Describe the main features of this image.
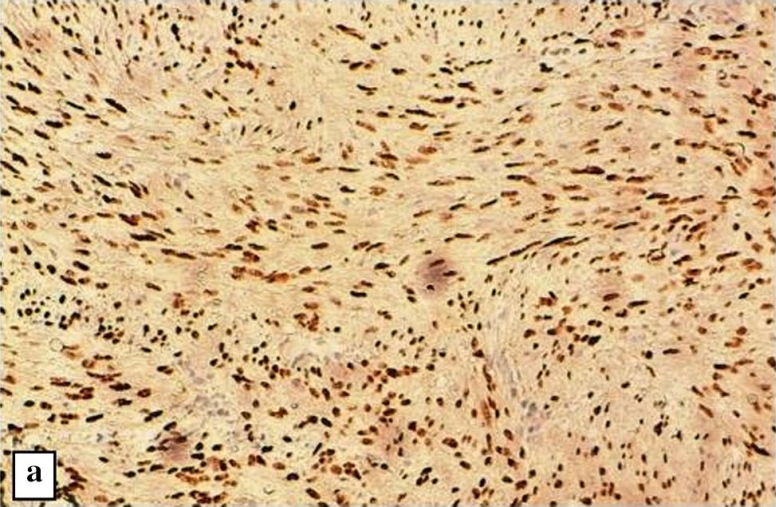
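This is a densely cellular tumor made of spindle-shaped cells running in sweeping, interlacing fascicles. Most of the nuclei are elongated to oval and are stained brown to dark brown, the stain lying within the nuclei. The cytoplasm is pale and ill-defined, so the cells blend into a light tan background. The cells are closely packed and roughly aligned in streams that change direction across the field.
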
